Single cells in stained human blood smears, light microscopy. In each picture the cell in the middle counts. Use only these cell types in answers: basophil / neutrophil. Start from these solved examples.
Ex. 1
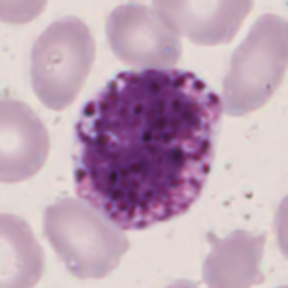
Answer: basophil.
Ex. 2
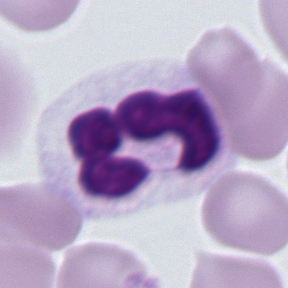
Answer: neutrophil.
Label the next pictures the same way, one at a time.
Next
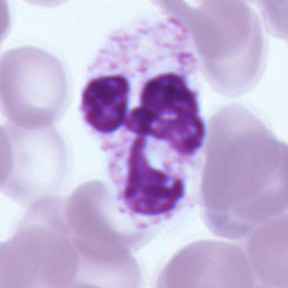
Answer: neutrophil.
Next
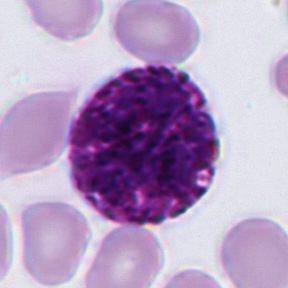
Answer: basophil.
